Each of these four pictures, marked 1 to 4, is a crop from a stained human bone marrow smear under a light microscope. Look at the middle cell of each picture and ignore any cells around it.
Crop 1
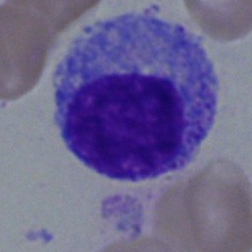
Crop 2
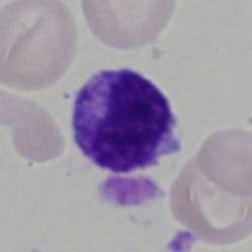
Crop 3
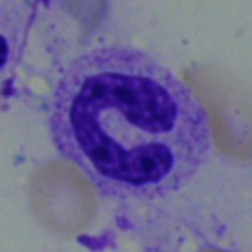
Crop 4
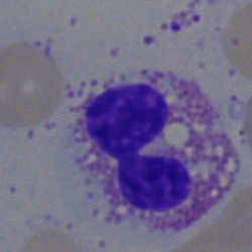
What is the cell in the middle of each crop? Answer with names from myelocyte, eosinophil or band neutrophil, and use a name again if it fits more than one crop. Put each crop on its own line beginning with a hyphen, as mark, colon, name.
- 1: myelocyte
- 2: myelocyte
- 3: band neutrophil
- 4: eosinophil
